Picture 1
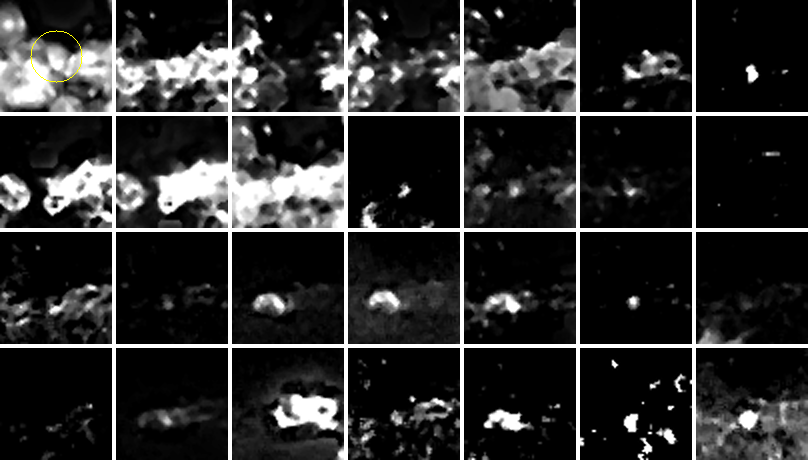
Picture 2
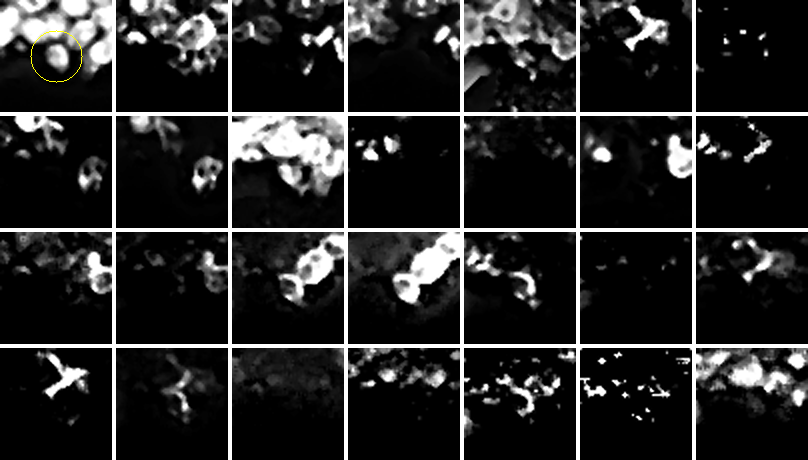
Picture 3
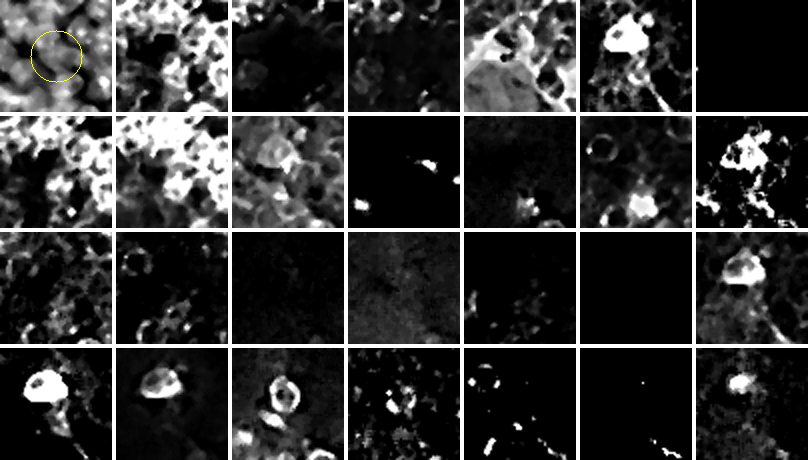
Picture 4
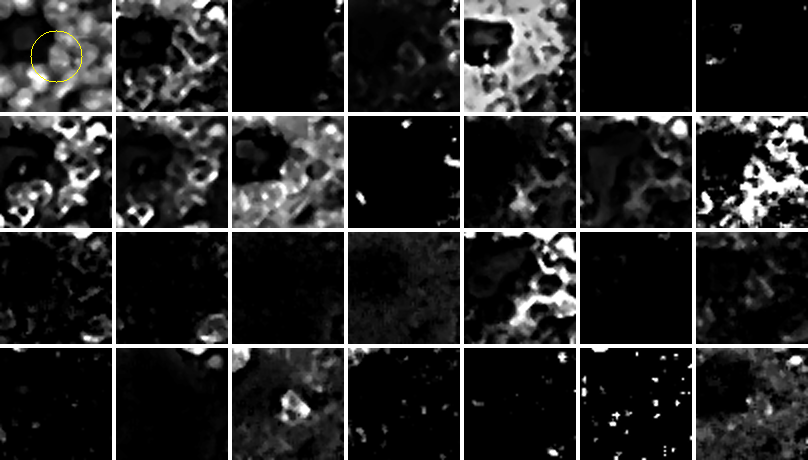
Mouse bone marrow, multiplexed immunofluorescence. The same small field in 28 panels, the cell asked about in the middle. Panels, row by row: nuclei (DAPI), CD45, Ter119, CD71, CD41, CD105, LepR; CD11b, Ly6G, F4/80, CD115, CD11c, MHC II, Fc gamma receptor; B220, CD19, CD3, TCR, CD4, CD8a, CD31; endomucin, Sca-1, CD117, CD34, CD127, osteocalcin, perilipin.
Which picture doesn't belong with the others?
Picture 2.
